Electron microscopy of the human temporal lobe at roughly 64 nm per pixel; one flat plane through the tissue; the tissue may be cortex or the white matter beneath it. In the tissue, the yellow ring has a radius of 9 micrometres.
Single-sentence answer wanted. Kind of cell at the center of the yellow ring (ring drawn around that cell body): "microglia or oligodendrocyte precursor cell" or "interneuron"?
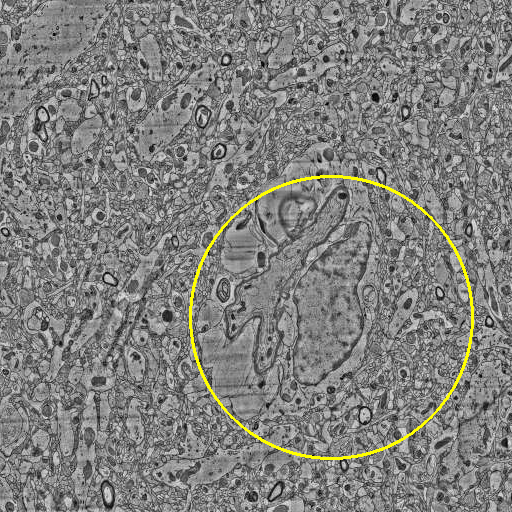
The cell centered in the ring is a microglial cell or oligodendrocyte precursor cell.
